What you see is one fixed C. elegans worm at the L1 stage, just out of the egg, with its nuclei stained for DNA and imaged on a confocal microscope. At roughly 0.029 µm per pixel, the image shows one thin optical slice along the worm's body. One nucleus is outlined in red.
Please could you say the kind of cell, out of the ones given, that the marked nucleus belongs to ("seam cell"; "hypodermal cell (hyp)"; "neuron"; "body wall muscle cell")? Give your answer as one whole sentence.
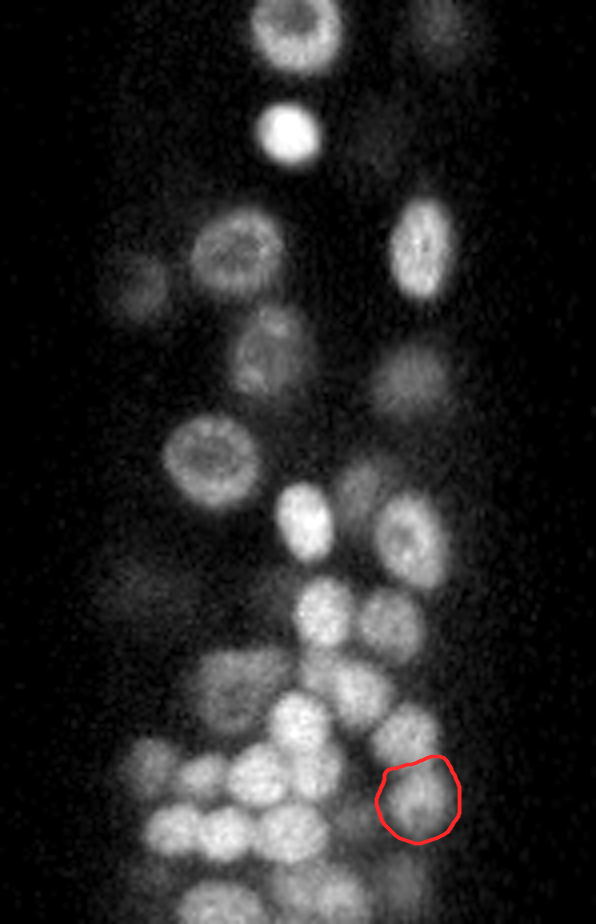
This is the nucleus of a body wall muscle cell.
